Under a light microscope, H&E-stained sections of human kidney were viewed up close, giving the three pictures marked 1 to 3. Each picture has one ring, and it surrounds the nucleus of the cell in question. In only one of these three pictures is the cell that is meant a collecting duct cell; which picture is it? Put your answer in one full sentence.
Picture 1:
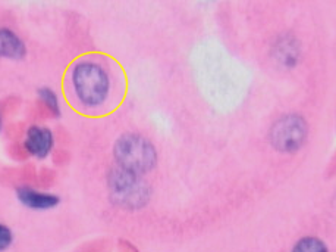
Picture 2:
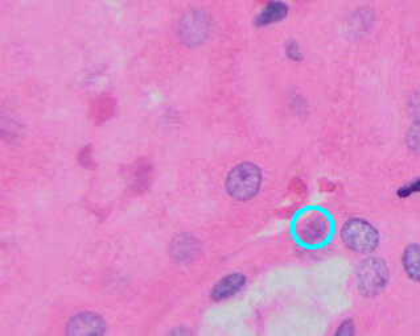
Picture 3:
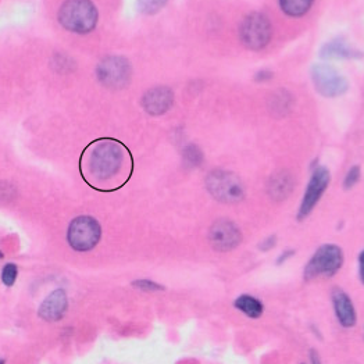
Picture 2 shows the collecting duct cell.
